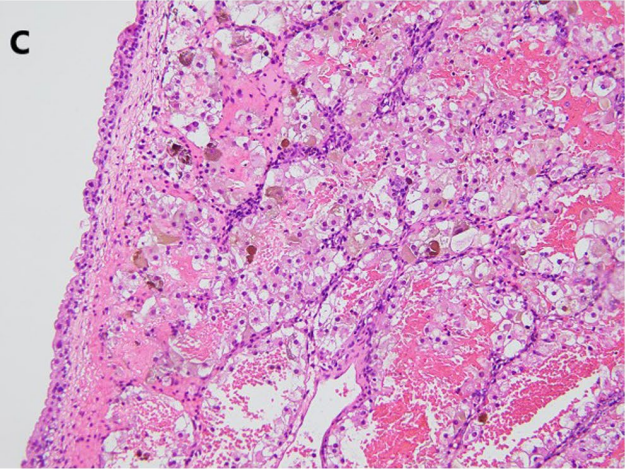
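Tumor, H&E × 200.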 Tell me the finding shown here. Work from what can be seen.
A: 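Thin vascular septa outline the nests throughout the field. On this evidence: abundant interstitial vascularity.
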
